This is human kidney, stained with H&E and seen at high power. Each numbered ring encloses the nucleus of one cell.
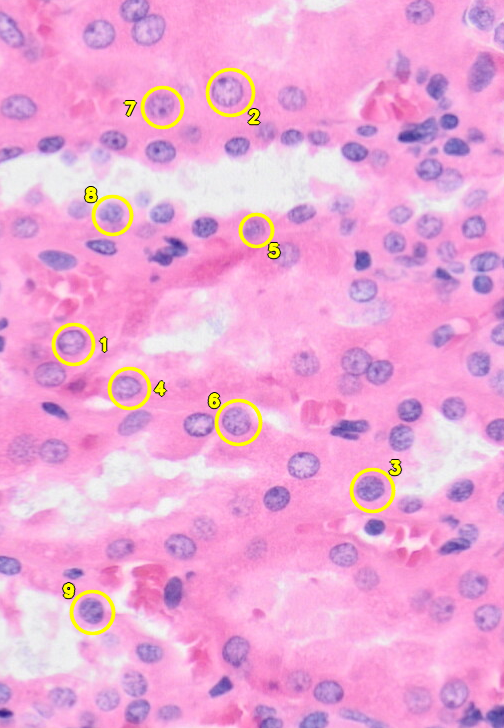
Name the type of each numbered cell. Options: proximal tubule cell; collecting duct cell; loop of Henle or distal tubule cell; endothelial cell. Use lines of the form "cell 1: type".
cell 1: proximal tubule cell
cell 2: proximal tubule cell
cell 3: loop of Henle or distal tubule cell
cell 4: proximal tubule cell
cell 5: loop of Henle or distal tubule cell
cell 6: proximal tubule cell
cell 7: proximal tubule cell
cell 8: loop of Henle or distal tubule cell
cell 9: loop of Henle or distal tubule cell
